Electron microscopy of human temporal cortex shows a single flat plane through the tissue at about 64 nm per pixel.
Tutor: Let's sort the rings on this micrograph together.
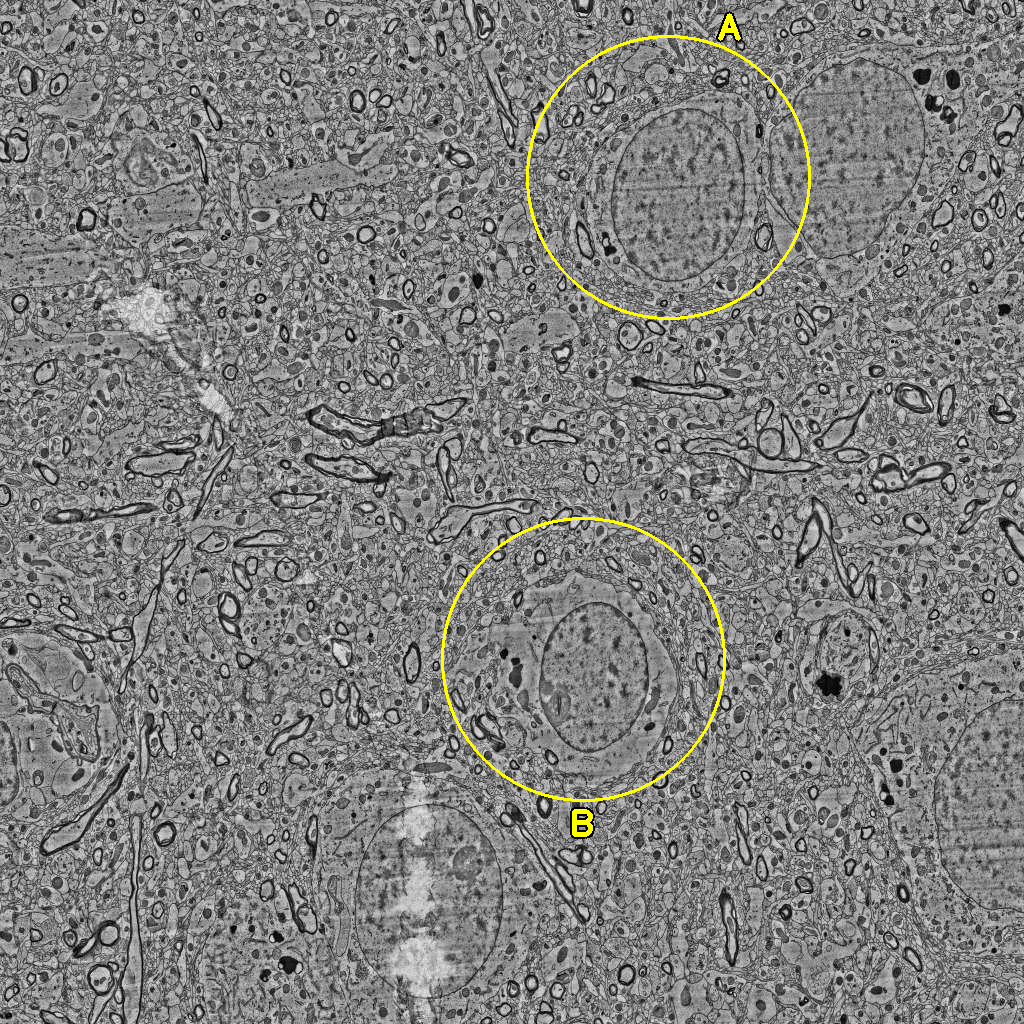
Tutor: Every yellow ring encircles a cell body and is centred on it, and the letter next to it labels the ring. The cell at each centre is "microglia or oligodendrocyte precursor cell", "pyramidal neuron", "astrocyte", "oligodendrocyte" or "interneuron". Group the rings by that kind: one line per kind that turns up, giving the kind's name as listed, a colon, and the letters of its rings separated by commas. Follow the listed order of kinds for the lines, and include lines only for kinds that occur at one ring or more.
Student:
pyramidal neuron: A
astrocyte: B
